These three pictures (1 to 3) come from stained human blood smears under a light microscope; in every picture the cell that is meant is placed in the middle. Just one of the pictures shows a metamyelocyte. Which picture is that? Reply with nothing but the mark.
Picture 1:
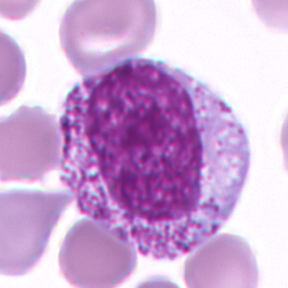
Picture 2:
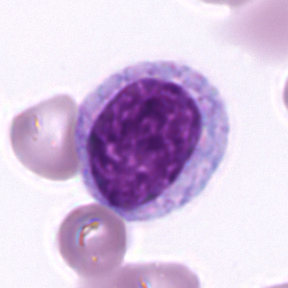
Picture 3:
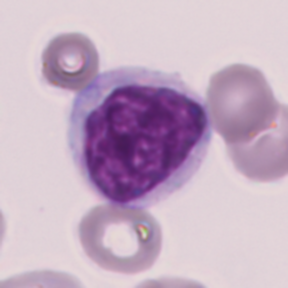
3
